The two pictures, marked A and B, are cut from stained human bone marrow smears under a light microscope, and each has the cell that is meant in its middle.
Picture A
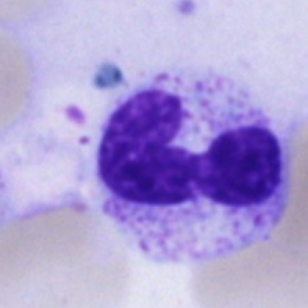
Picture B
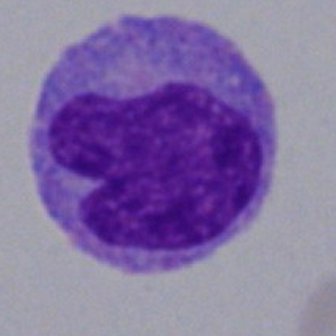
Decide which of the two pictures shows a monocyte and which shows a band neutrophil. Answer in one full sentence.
It is picture A that shows a band neutrophil, and picture B that shows a monocyte.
